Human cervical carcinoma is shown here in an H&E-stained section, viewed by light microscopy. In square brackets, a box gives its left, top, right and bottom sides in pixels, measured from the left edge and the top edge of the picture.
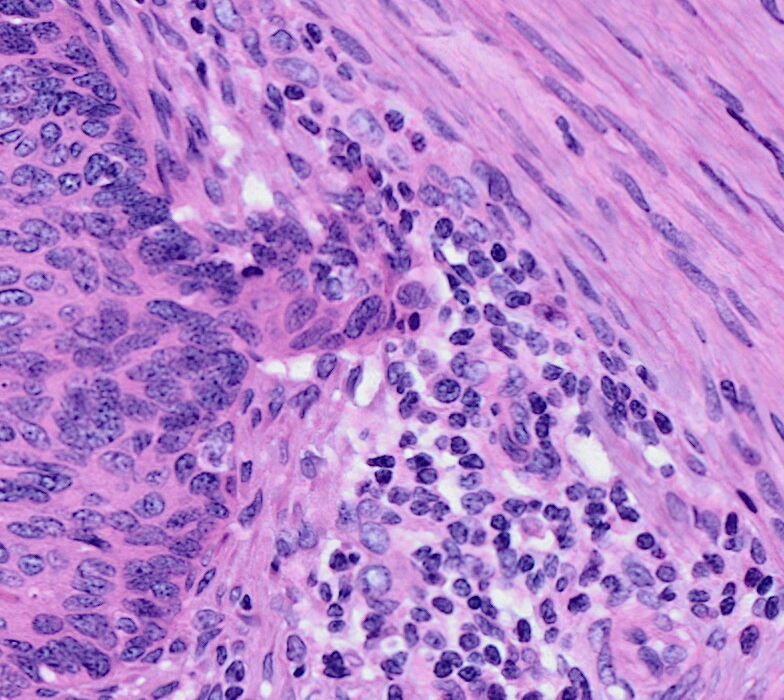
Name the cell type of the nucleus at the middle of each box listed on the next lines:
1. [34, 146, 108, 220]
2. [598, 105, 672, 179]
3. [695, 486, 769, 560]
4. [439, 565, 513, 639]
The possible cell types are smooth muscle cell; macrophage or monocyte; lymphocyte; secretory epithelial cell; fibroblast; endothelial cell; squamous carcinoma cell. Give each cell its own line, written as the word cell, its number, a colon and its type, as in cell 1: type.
cell 1: squamous carcinoma cell
cell 2: smooth muscle cell
cell 3: lymphocyte
cell 4: lymphocyte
